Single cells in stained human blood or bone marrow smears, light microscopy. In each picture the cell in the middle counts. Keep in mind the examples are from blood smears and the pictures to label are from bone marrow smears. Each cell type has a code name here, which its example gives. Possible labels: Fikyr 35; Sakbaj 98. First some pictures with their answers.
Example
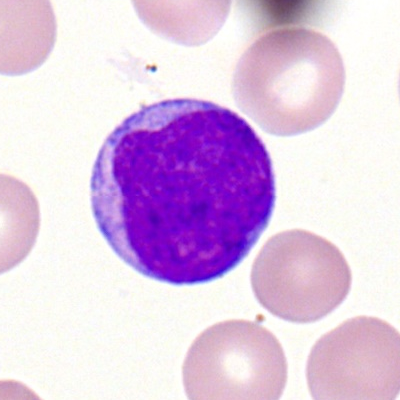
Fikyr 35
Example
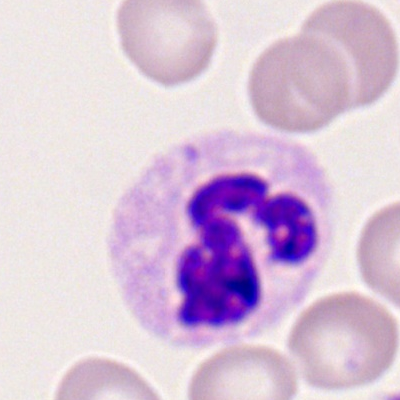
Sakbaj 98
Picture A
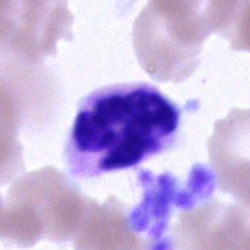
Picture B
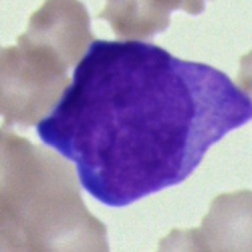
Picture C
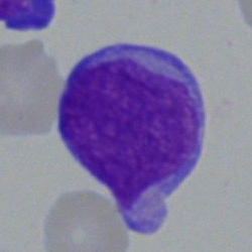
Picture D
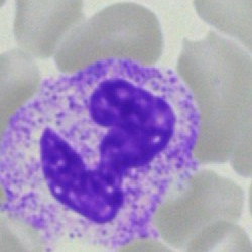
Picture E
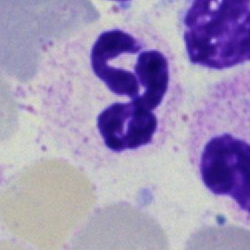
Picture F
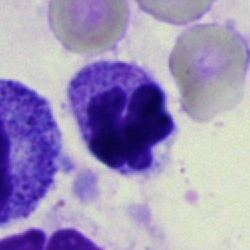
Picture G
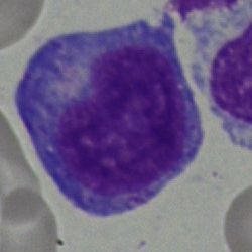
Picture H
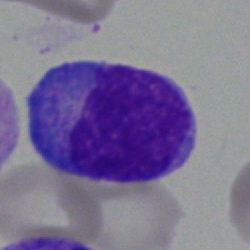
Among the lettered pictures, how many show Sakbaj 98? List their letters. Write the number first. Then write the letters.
4, namely A, D, E, F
